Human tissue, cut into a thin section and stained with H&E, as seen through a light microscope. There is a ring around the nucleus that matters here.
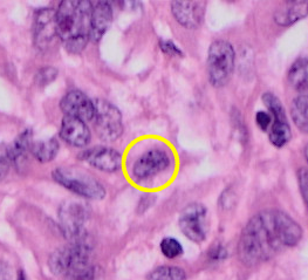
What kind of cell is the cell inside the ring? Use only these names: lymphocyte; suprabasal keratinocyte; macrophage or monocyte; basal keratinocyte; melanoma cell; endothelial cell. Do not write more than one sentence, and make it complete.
By its classification, the cell inside the ring is a melanoma cell.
